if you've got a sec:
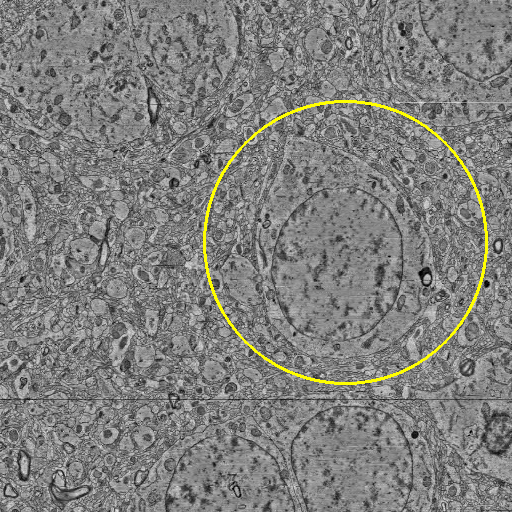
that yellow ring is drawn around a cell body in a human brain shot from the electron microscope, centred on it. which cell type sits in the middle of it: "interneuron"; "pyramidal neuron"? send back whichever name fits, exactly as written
pyramidal neuron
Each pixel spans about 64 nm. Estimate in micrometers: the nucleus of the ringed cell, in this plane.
In this plane, approximately 10 by 8 micrometers.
